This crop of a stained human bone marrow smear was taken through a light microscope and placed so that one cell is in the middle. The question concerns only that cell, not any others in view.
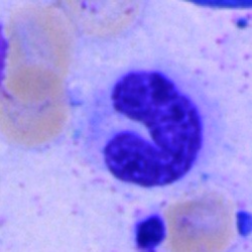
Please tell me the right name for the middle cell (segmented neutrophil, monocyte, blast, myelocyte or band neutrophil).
band neutrophil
